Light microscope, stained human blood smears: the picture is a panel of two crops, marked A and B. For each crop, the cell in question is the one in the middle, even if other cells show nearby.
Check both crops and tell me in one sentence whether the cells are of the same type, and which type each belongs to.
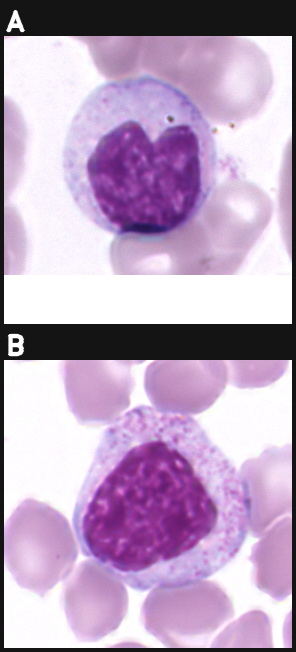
Yes, the cells centred in the two crops are both metamyelocytes.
